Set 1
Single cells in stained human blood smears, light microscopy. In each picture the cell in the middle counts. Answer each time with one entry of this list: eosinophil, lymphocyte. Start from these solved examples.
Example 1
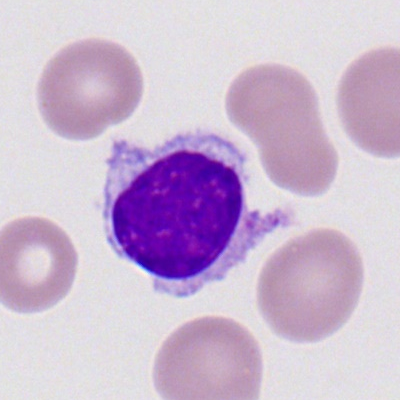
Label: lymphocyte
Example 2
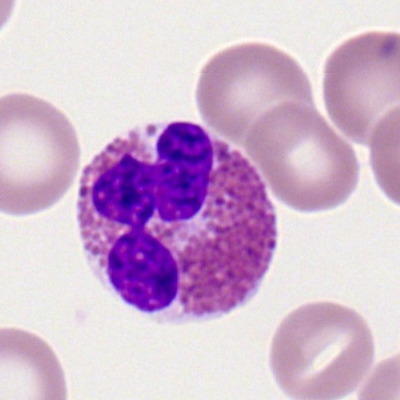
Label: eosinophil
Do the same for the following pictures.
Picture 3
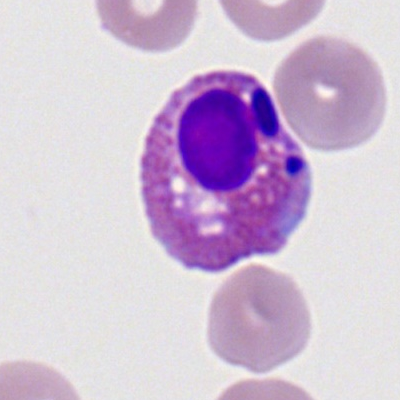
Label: eosinophil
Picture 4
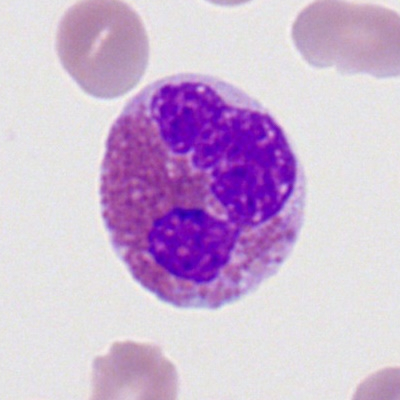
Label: eosinophil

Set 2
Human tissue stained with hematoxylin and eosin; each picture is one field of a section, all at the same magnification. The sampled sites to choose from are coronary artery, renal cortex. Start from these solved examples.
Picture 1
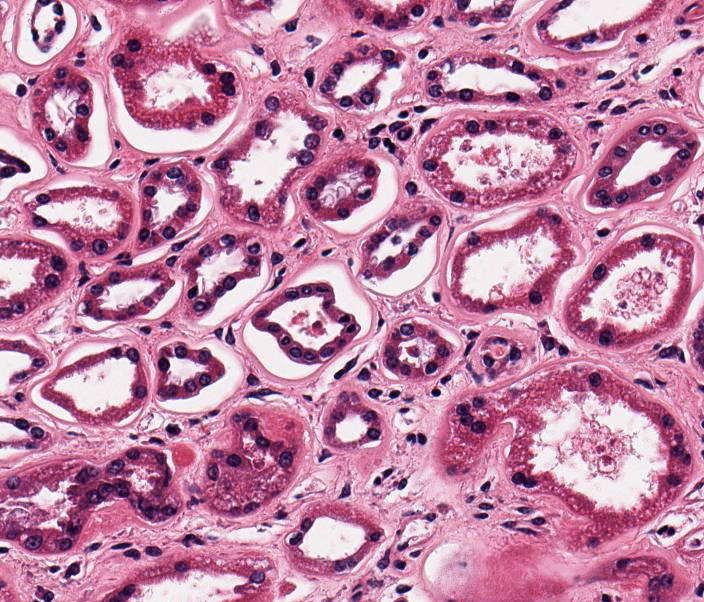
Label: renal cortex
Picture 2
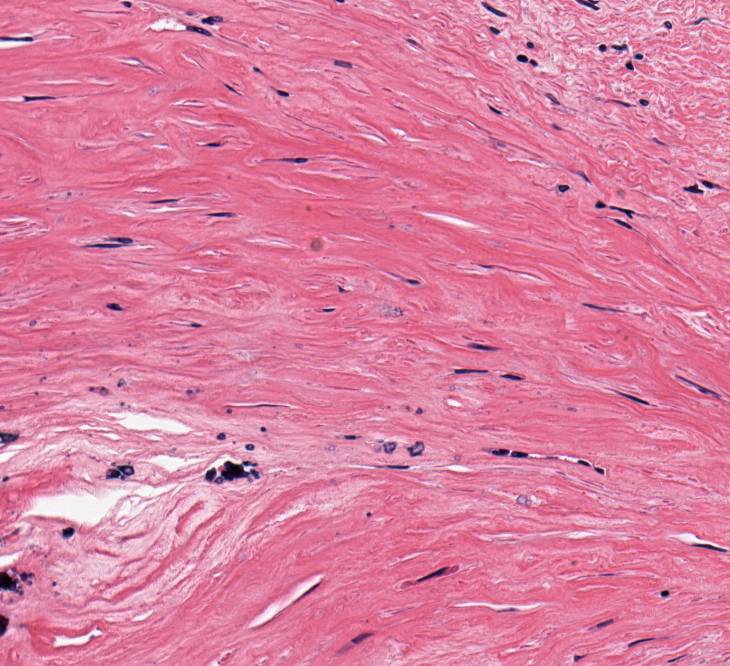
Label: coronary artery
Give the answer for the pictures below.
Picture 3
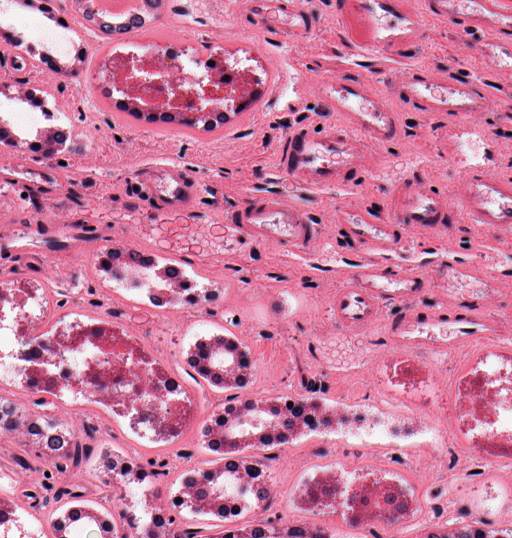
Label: renal cortex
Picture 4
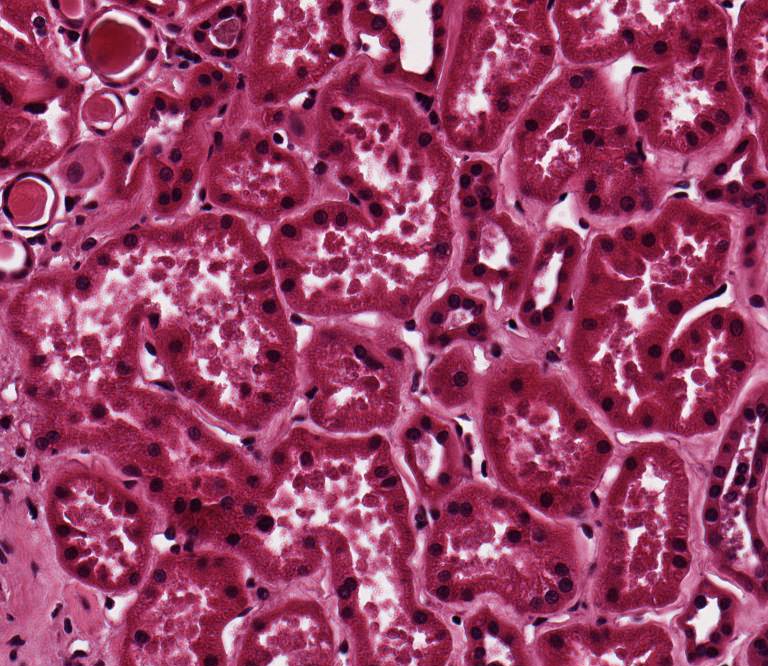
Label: renal cortex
